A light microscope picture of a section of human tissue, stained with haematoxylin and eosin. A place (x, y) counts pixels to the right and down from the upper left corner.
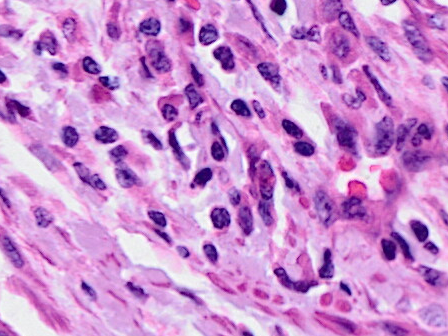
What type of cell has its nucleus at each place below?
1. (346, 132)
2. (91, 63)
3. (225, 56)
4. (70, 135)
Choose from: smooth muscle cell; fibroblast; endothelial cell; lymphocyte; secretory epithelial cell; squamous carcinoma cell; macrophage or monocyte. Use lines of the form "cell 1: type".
cell 1: endothelial cell
cell 2: lymphocyte
cell 3: lymphocyte
cell 4: lymphocyte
